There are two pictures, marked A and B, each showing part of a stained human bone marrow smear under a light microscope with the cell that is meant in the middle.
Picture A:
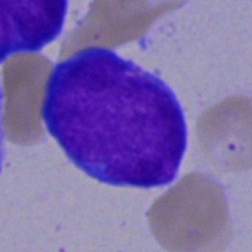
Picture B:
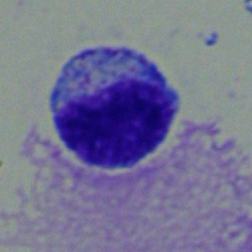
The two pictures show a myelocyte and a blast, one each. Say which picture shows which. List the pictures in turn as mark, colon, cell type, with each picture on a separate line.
A: blast
B: myelocyte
